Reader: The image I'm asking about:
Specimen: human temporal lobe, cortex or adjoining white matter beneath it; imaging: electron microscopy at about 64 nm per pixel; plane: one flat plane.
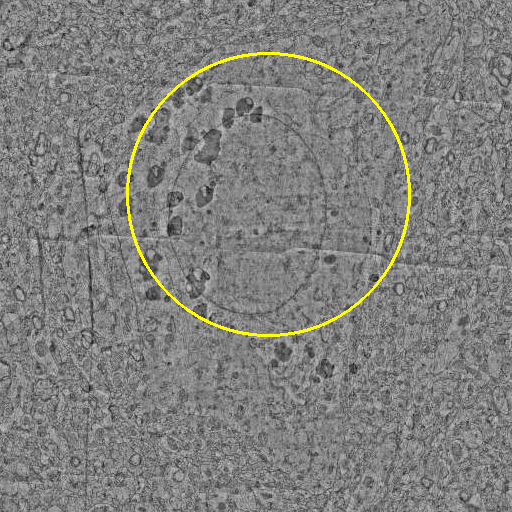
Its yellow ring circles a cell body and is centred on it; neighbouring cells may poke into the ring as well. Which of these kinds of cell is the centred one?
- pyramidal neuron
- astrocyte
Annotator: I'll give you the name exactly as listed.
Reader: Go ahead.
pyramidal neuron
